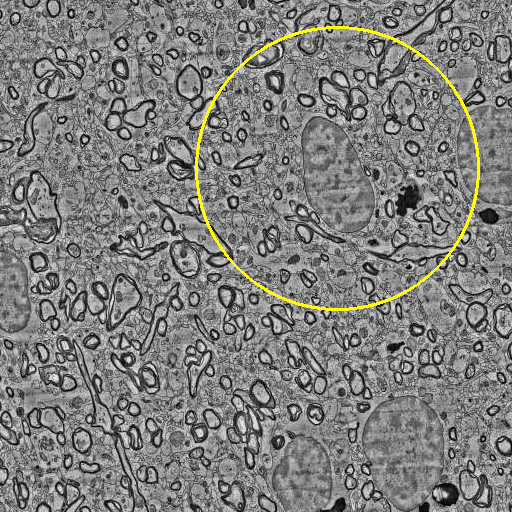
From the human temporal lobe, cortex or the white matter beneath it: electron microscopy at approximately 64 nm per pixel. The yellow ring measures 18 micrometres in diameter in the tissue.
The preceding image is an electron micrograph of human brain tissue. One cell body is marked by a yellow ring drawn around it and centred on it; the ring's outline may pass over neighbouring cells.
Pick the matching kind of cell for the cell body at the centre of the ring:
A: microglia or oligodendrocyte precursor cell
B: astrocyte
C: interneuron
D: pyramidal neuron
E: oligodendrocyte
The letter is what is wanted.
A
